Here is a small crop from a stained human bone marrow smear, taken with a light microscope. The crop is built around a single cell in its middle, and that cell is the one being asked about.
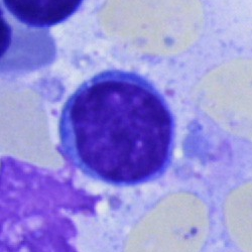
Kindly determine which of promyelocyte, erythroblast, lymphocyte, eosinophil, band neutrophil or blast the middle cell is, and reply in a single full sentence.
This crop has a lymphocyte at its centre.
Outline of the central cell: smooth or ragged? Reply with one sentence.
The cell shows a smooth outline that lacks any surface projections.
